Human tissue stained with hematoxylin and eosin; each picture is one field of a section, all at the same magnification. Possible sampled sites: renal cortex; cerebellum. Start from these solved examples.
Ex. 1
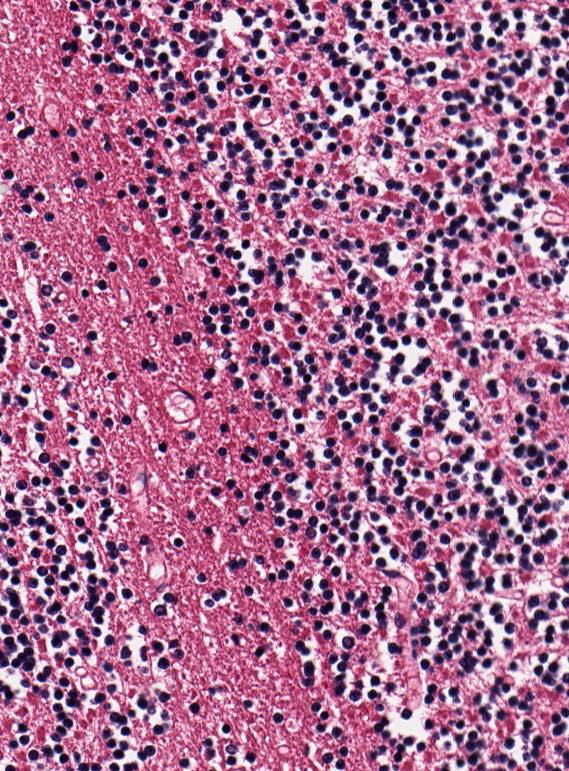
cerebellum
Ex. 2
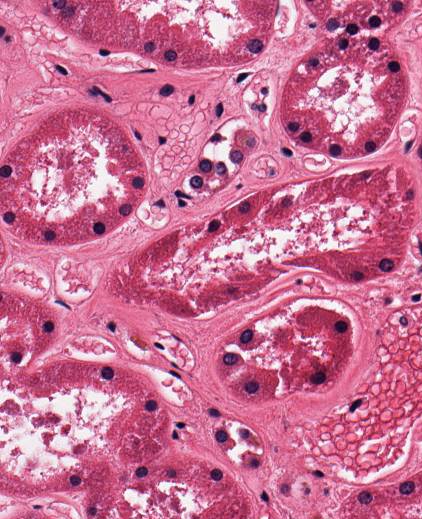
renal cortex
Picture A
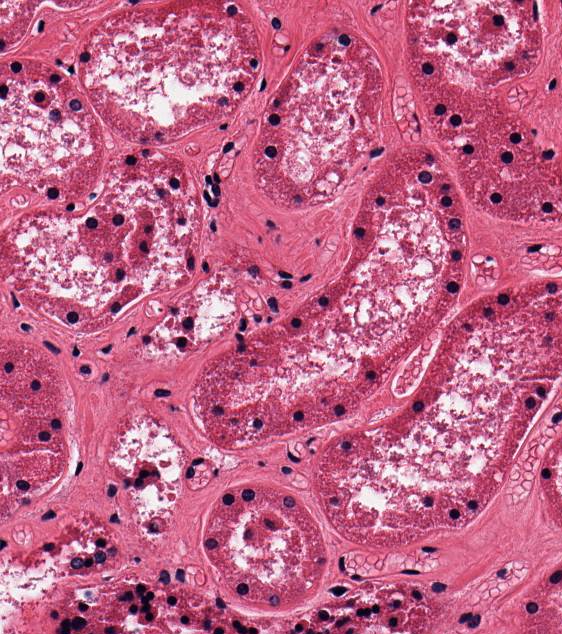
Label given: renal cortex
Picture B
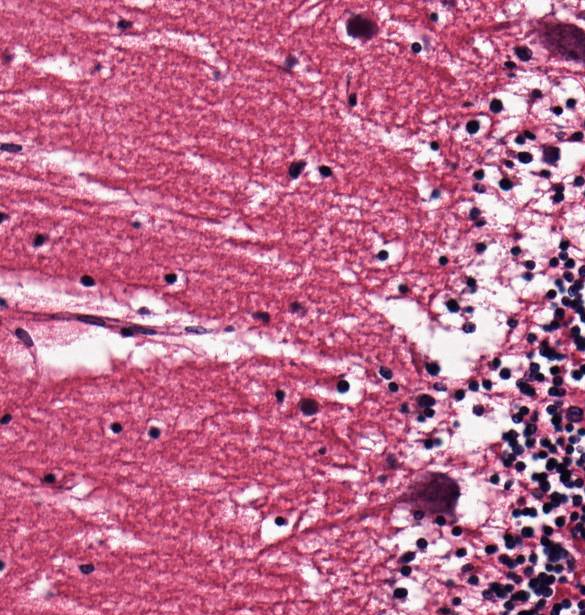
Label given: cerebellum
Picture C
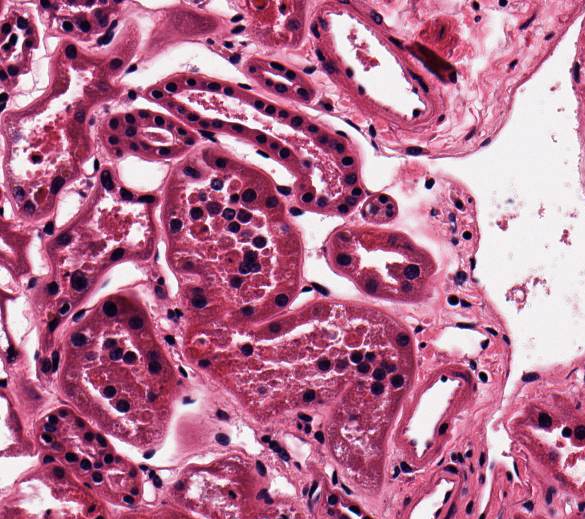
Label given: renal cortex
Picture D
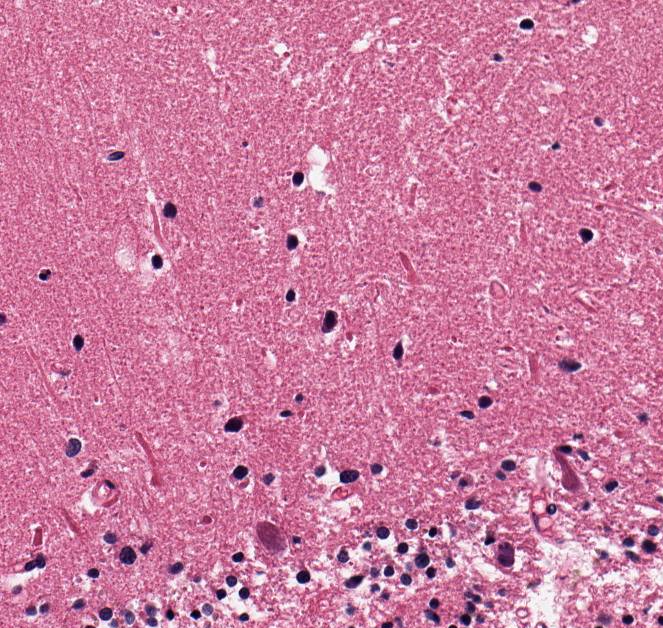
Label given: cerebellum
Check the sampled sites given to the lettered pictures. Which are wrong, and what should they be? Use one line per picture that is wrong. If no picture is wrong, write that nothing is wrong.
Nothing to fix; every label fits.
